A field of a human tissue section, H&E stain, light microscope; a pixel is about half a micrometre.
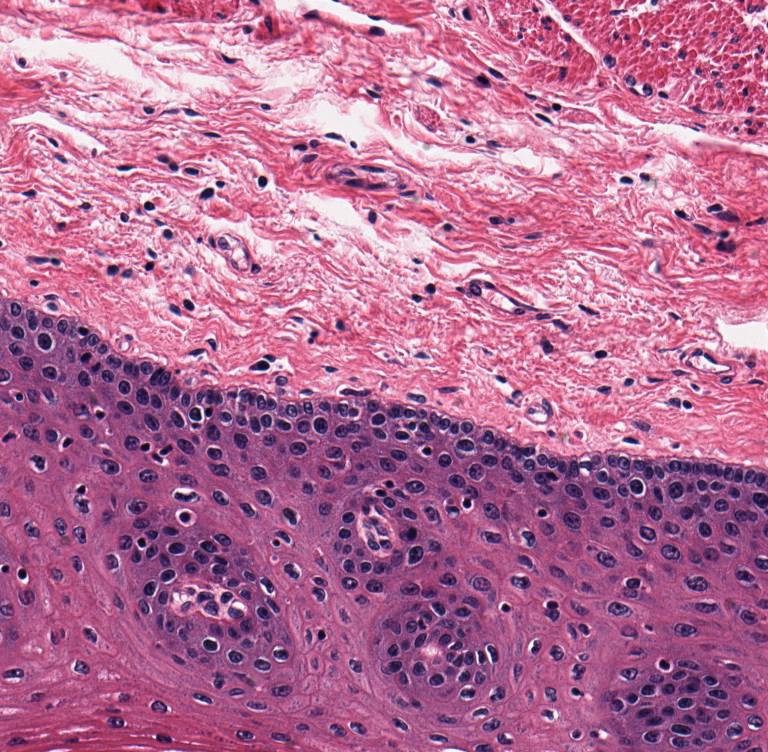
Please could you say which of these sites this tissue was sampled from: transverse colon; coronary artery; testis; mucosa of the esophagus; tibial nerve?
mucosa of the esophagus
